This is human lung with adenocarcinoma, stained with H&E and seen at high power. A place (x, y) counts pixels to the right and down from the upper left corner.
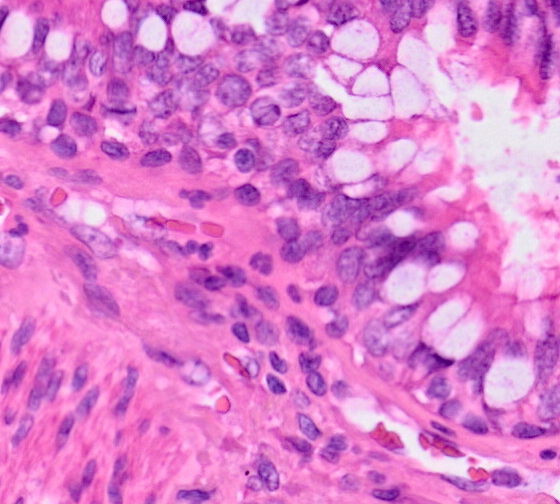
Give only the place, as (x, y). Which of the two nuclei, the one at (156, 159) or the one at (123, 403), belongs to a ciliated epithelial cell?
(156, 159)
